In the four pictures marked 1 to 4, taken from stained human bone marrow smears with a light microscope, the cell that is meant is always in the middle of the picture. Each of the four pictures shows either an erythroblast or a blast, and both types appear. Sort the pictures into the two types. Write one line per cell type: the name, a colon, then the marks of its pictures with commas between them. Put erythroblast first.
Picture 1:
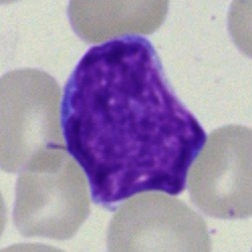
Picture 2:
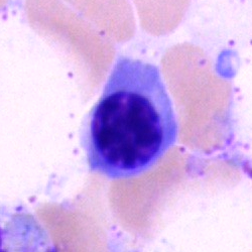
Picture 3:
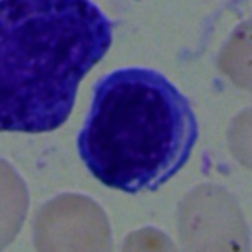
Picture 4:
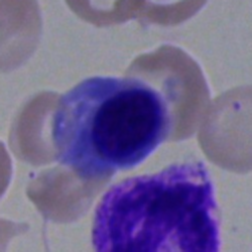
erythroblast: 2, 3, 4
blast: 1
